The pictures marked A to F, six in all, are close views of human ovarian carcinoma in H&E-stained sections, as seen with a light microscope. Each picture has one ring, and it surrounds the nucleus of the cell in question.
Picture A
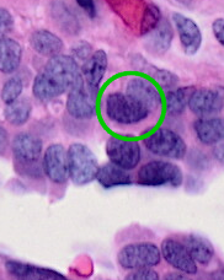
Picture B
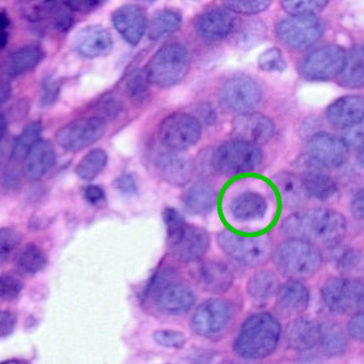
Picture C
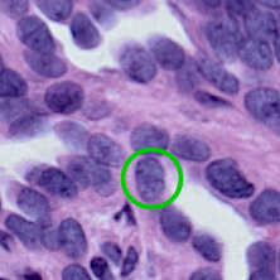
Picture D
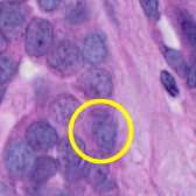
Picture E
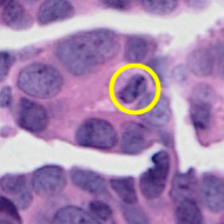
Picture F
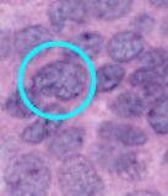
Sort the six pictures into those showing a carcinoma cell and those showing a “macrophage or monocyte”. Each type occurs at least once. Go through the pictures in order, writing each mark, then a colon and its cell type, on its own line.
A: carcinoma cell
B: macrophage or monocyte
C: carcinoma cell
D: carcinoma cell
E: macrophage or monocyte
F: carcinoma cell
